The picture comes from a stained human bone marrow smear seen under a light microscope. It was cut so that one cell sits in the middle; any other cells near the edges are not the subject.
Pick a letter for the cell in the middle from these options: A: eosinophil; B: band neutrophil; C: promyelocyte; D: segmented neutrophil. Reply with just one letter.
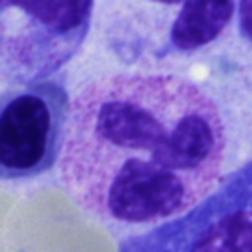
D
